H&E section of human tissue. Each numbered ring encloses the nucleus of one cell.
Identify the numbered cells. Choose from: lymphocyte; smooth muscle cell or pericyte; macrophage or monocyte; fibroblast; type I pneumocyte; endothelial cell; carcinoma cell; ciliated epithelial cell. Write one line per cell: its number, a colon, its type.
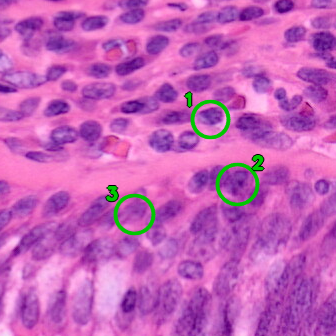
1: lymphocyte
2: ciliated epithelial cell
3: ciliated epithelial cell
